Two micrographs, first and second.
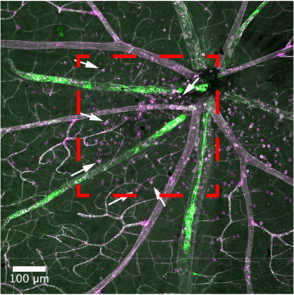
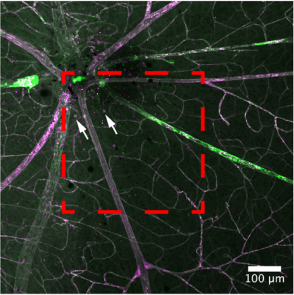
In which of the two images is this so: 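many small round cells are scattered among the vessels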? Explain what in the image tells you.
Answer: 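Second image: only a few small round cells lie between the vessels. First image: numerous small round cells are scattered between the vessels around the center. That points to this answer: the first image.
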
